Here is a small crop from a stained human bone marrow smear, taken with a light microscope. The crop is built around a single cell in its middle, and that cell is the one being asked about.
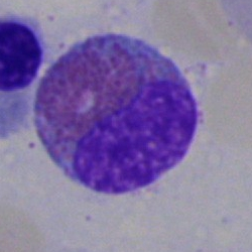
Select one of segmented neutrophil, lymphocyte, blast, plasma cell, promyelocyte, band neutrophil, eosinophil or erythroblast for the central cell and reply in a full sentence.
The cell occupying the middle of the crop is an eosinophil.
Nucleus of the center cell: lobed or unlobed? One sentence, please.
Between us, the nucleus here is just one compact mass, round, oval or kidney-shaped.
